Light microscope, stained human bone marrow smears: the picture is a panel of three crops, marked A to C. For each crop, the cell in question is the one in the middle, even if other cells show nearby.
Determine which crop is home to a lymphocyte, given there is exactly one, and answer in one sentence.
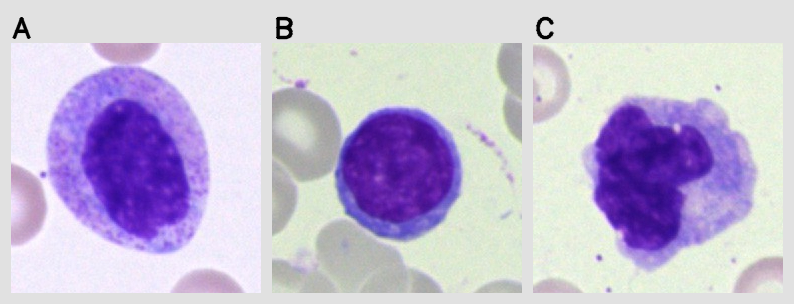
Of these crops, it is crop B that shows a lymphocyte.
